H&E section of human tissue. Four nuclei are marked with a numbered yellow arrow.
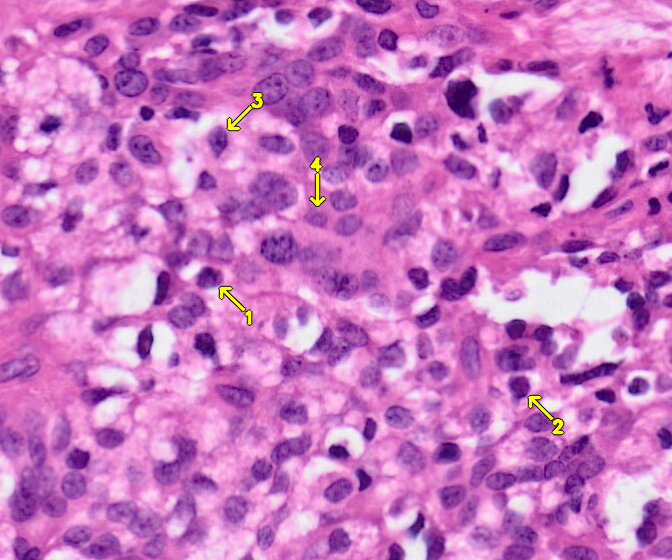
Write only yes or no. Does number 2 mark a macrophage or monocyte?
no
